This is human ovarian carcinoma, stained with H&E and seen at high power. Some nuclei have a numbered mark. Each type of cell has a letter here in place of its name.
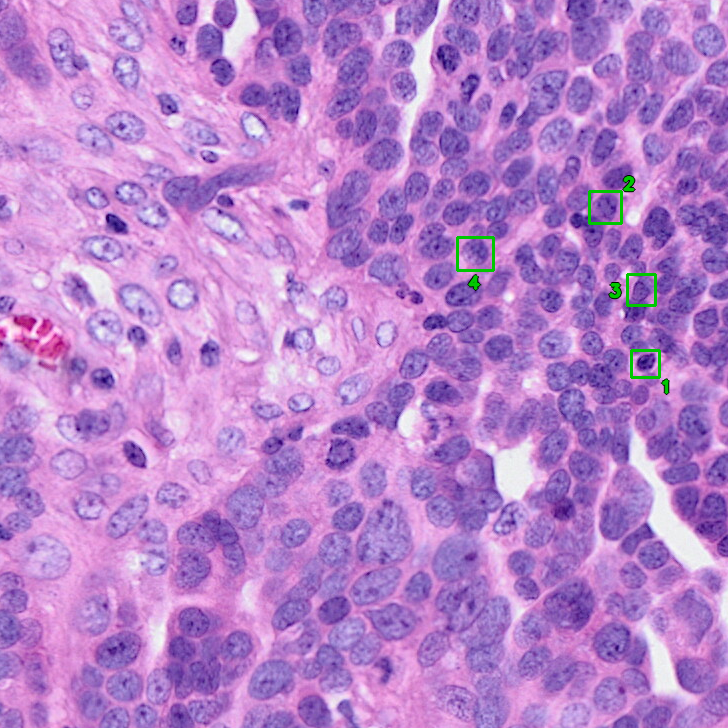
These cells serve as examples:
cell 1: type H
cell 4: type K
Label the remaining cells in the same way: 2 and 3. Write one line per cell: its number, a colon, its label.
2: type K
3: type K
